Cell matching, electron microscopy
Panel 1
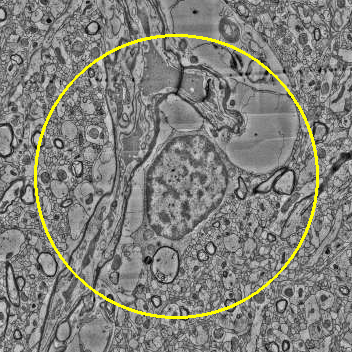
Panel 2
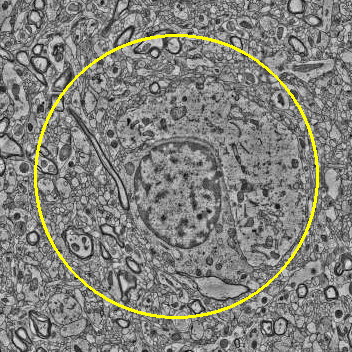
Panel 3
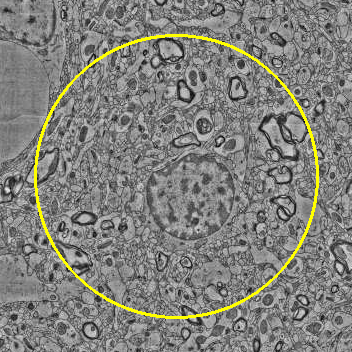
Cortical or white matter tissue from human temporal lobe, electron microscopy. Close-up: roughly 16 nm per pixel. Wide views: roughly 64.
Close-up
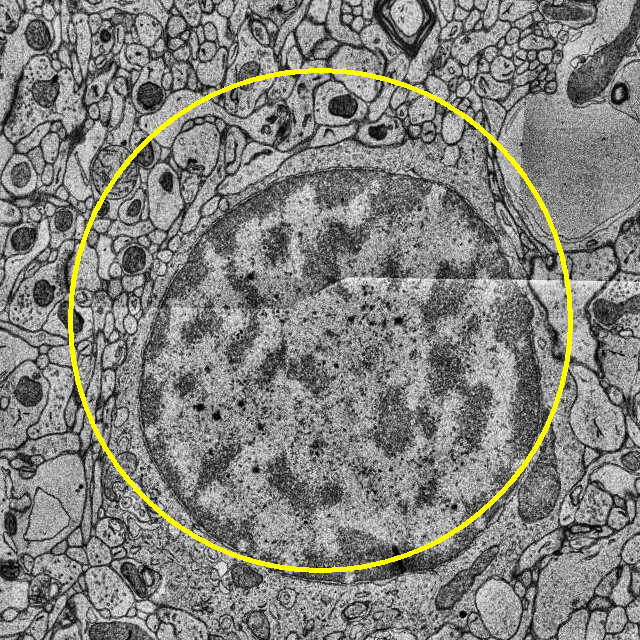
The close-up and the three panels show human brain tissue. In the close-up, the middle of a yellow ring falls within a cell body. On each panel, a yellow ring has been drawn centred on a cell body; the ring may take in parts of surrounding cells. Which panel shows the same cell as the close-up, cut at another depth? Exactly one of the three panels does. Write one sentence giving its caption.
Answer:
Enlarged in the close-up is the cell circled in Panel 3.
